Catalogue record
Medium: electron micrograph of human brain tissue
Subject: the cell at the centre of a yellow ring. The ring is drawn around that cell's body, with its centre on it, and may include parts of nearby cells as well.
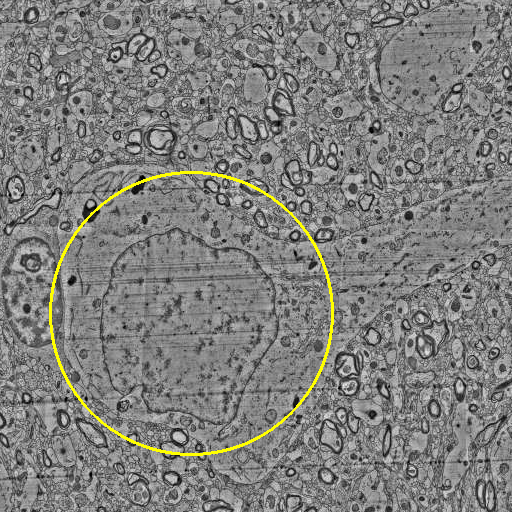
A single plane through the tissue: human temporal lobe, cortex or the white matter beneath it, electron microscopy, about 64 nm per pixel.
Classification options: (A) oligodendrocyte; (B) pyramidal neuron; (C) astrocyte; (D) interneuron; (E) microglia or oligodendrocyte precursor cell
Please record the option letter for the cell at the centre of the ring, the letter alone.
B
